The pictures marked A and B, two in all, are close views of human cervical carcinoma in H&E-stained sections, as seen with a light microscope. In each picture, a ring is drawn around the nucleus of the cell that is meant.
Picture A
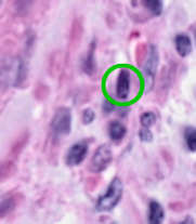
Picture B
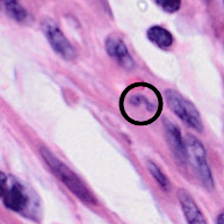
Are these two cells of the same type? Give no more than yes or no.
no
